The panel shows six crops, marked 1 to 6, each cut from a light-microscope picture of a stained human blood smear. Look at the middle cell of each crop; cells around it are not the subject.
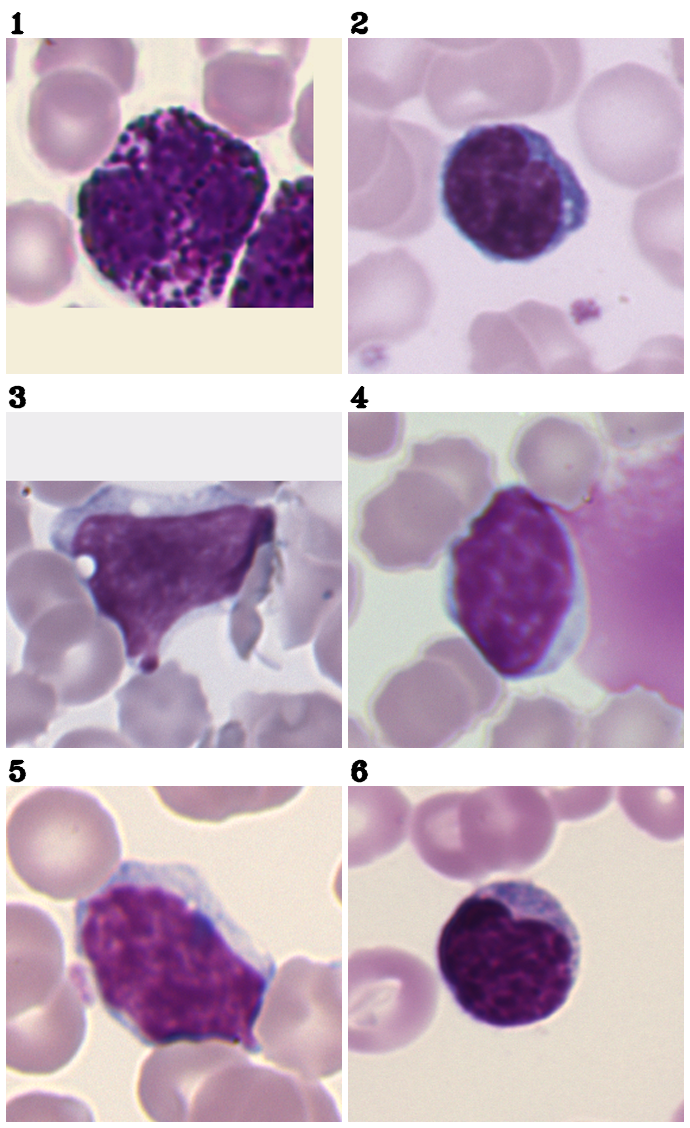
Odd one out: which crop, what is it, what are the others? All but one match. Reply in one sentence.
Here the outlier is crop 1, which is a basophil, and the rest are typical lymphocytes.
